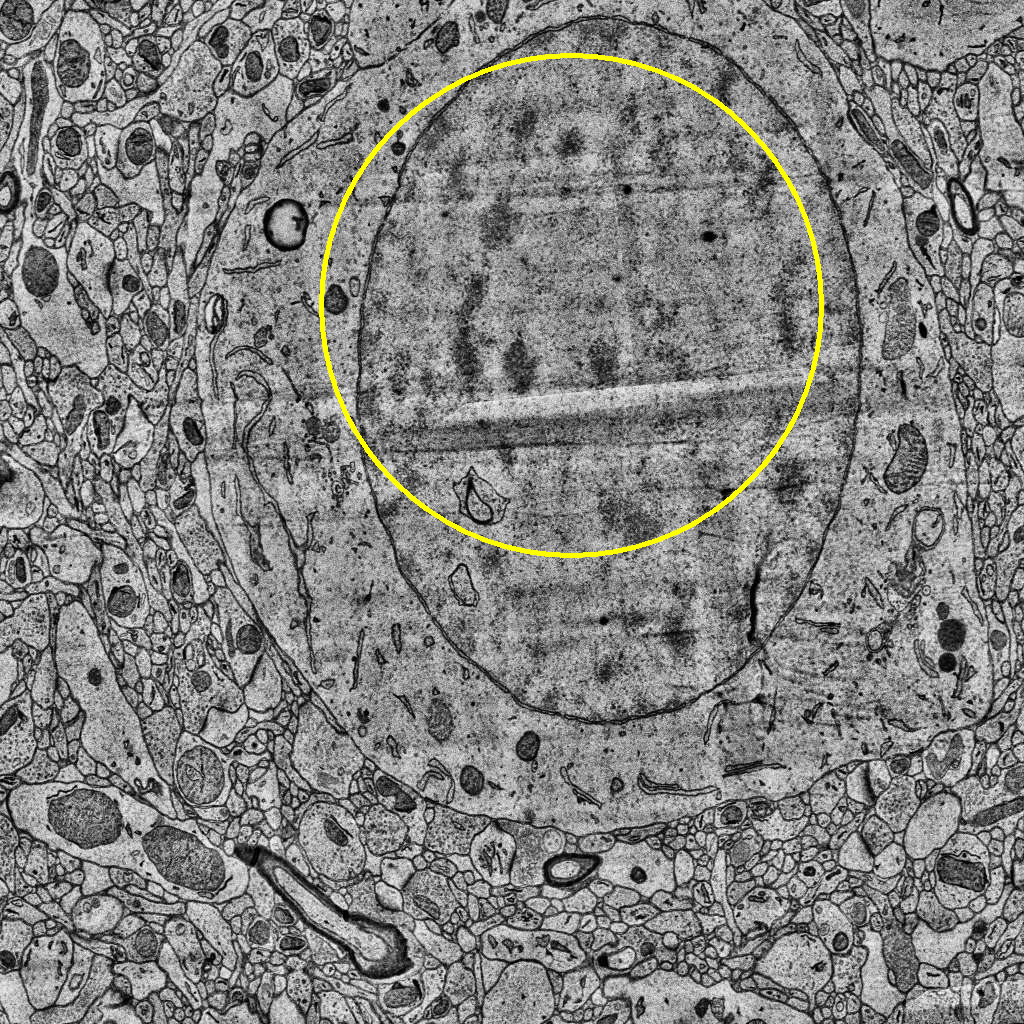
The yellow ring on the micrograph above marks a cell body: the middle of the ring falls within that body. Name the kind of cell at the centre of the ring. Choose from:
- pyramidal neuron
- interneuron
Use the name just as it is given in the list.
pyramidal neuron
